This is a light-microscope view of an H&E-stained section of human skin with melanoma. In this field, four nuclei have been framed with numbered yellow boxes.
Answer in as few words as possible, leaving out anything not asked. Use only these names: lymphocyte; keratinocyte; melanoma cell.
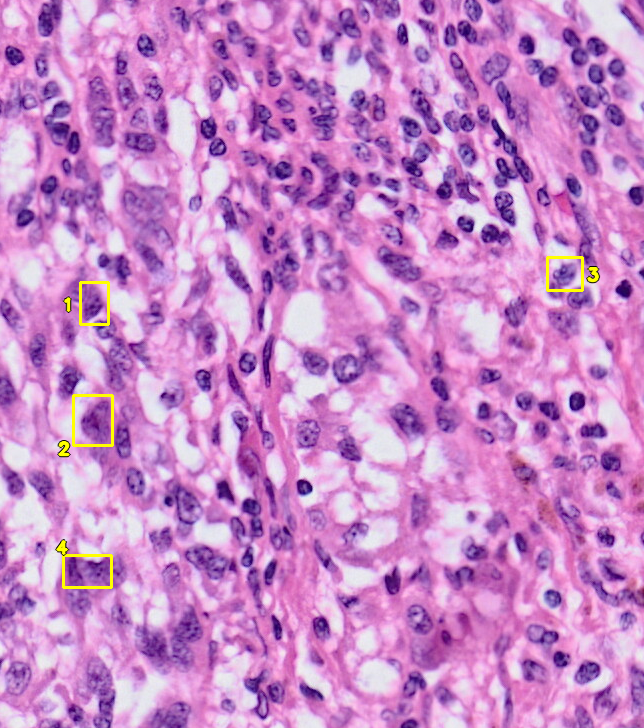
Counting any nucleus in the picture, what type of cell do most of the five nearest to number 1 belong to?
lymphocyte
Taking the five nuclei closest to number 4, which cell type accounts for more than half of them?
melanoma cell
